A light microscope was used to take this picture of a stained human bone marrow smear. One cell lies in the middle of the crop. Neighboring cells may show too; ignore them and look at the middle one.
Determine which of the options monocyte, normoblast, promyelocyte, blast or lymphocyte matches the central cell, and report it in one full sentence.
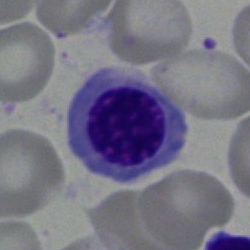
The cell at the heart of this crop is a normoblast.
